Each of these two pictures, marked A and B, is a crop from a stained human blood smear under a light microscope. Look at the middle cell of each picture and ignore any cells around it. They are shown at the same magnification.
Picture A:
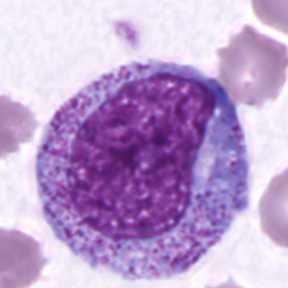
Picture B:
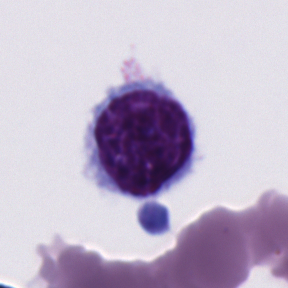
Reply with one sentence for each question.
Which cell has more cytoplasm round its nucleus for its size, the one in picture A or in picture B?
The nucleus fills less of the cell in picture A than in picture B.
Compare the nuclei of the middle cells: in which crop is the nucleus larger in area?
Picture A shows the larger nucleus; it covers about 2.5 times the area of the nucleus in picture B.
